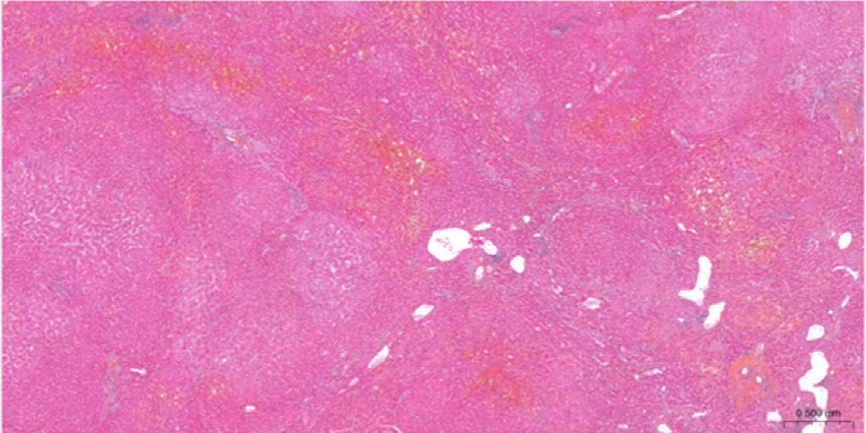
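At low power the pink liver parenchyma is divided into rounded, paler zones separated by darker red, congested bands, and no thick fibrous septa surround the zones. Scattered open vessels lie toward the lower right. The pattern is a nodular architecture of the hepatic plates.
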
